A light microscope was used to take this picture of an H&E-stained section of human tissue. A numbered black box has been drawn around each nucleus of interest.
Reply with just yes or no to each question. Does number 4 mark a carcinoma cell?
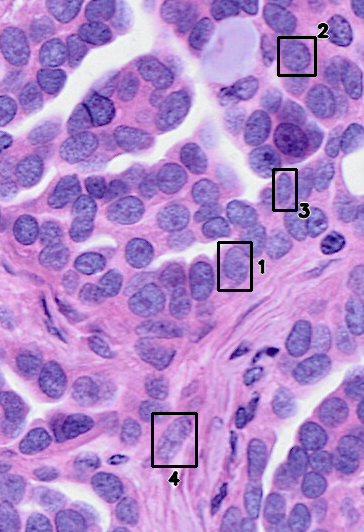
no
